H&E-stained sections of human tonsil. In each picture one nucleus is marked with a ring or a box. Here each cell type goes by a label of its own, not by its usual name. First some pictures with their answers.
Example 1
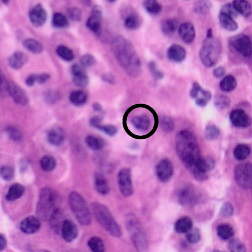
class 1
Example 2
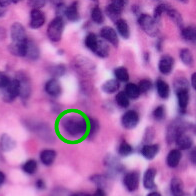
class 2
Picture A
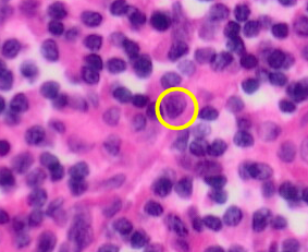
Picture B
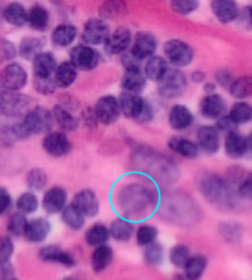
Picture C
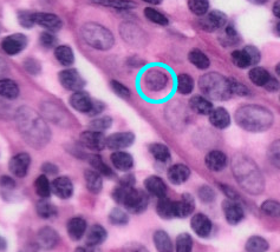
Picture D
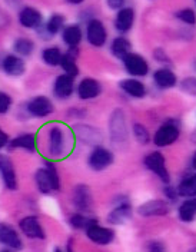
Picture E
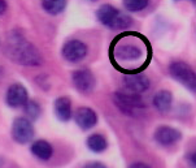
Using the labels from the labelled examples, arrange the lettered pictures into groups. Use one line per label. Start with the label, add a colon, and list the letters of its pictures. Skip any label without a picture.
class 1: E
class 2: A, B, C, D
